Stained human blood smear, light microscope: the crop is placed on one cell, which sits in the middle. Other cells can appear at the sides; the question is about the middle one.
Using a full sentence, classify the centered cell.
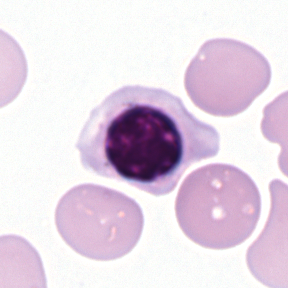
Among the cells in view, the one in the middle is a normoblast.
